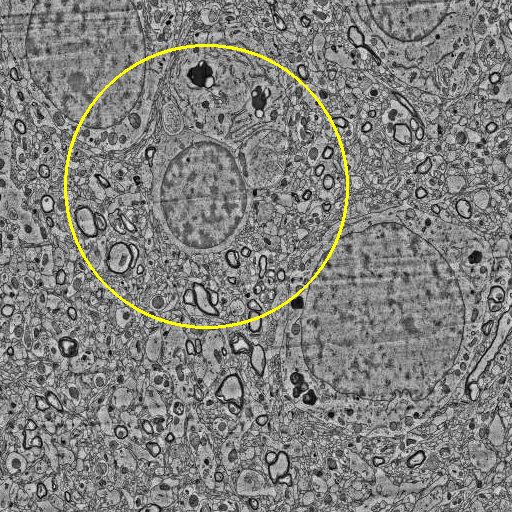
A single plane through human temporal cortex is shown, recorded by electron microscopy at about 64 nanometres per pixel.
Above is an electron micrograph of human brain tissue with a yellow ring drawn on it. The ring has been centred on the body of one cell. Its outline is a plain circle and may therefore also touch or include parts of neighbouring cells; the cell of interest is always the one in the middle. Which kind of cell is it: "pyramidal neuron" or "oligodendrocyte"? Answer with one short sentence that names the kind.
The ring's central cell body is that of an oligodendrocyte.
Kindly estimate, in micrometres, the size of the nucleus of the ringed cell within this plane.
The nucleus works out at approximately 7 by 5 micrometres in this plane.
